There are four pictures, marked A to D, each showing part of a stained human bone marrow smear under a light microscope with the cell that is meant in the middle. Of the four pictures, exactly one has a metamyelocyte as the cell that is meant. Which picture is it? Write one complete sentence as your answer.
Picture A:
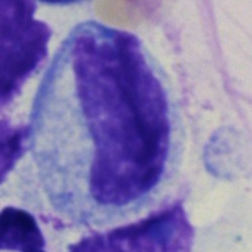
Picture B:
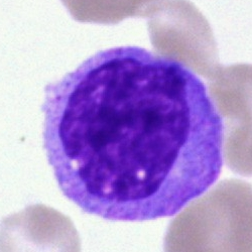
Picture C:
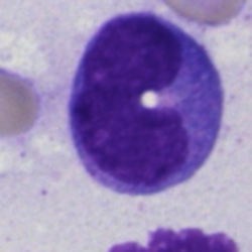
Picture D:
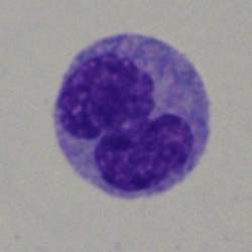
It is picture A that shows the metamyelocyte.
